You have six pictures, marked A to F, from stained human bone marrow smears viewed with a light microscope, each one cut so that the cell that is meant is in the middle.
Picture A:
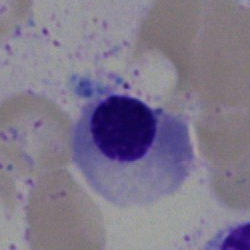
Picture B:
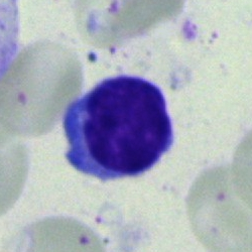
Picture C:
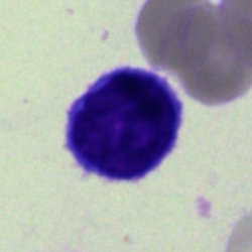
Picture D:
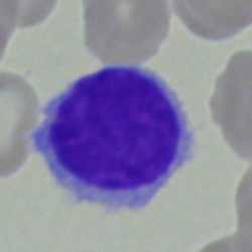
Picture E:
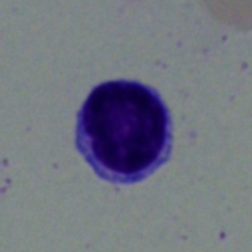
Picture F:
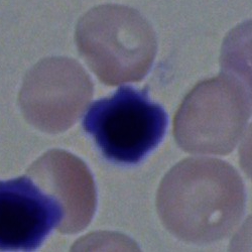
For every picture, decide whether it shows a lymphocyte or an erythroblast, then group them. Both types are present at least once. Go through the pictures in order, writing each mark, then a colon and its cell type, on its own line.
A: erythroblast
B: lymphocyte
C: lymphocyte
D: lymphocyte
E: lymphocyte
F: erythroblast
